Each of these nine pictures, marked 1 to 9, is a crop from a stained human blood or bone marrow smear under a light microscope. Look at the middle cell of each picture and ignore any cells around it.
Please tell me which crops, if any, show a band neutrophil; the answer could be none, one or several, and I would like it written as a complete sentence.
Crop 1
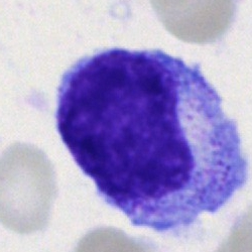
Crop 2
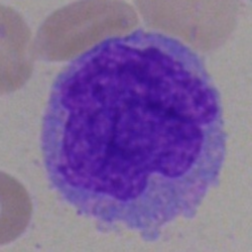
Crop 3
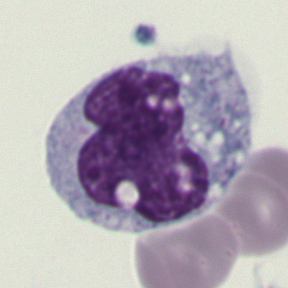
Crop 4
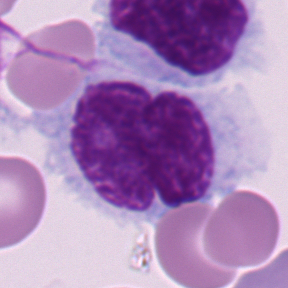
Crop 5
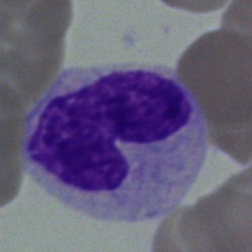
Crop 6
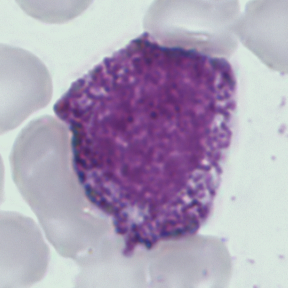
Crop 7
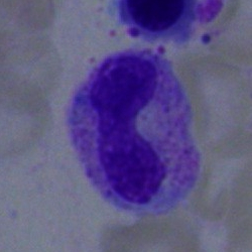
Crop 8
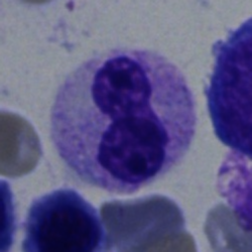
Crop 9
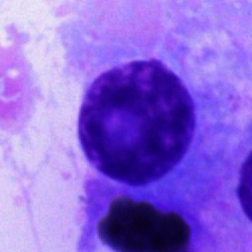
Within this set, crops 5, 7 and 8 show band neutrophils.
